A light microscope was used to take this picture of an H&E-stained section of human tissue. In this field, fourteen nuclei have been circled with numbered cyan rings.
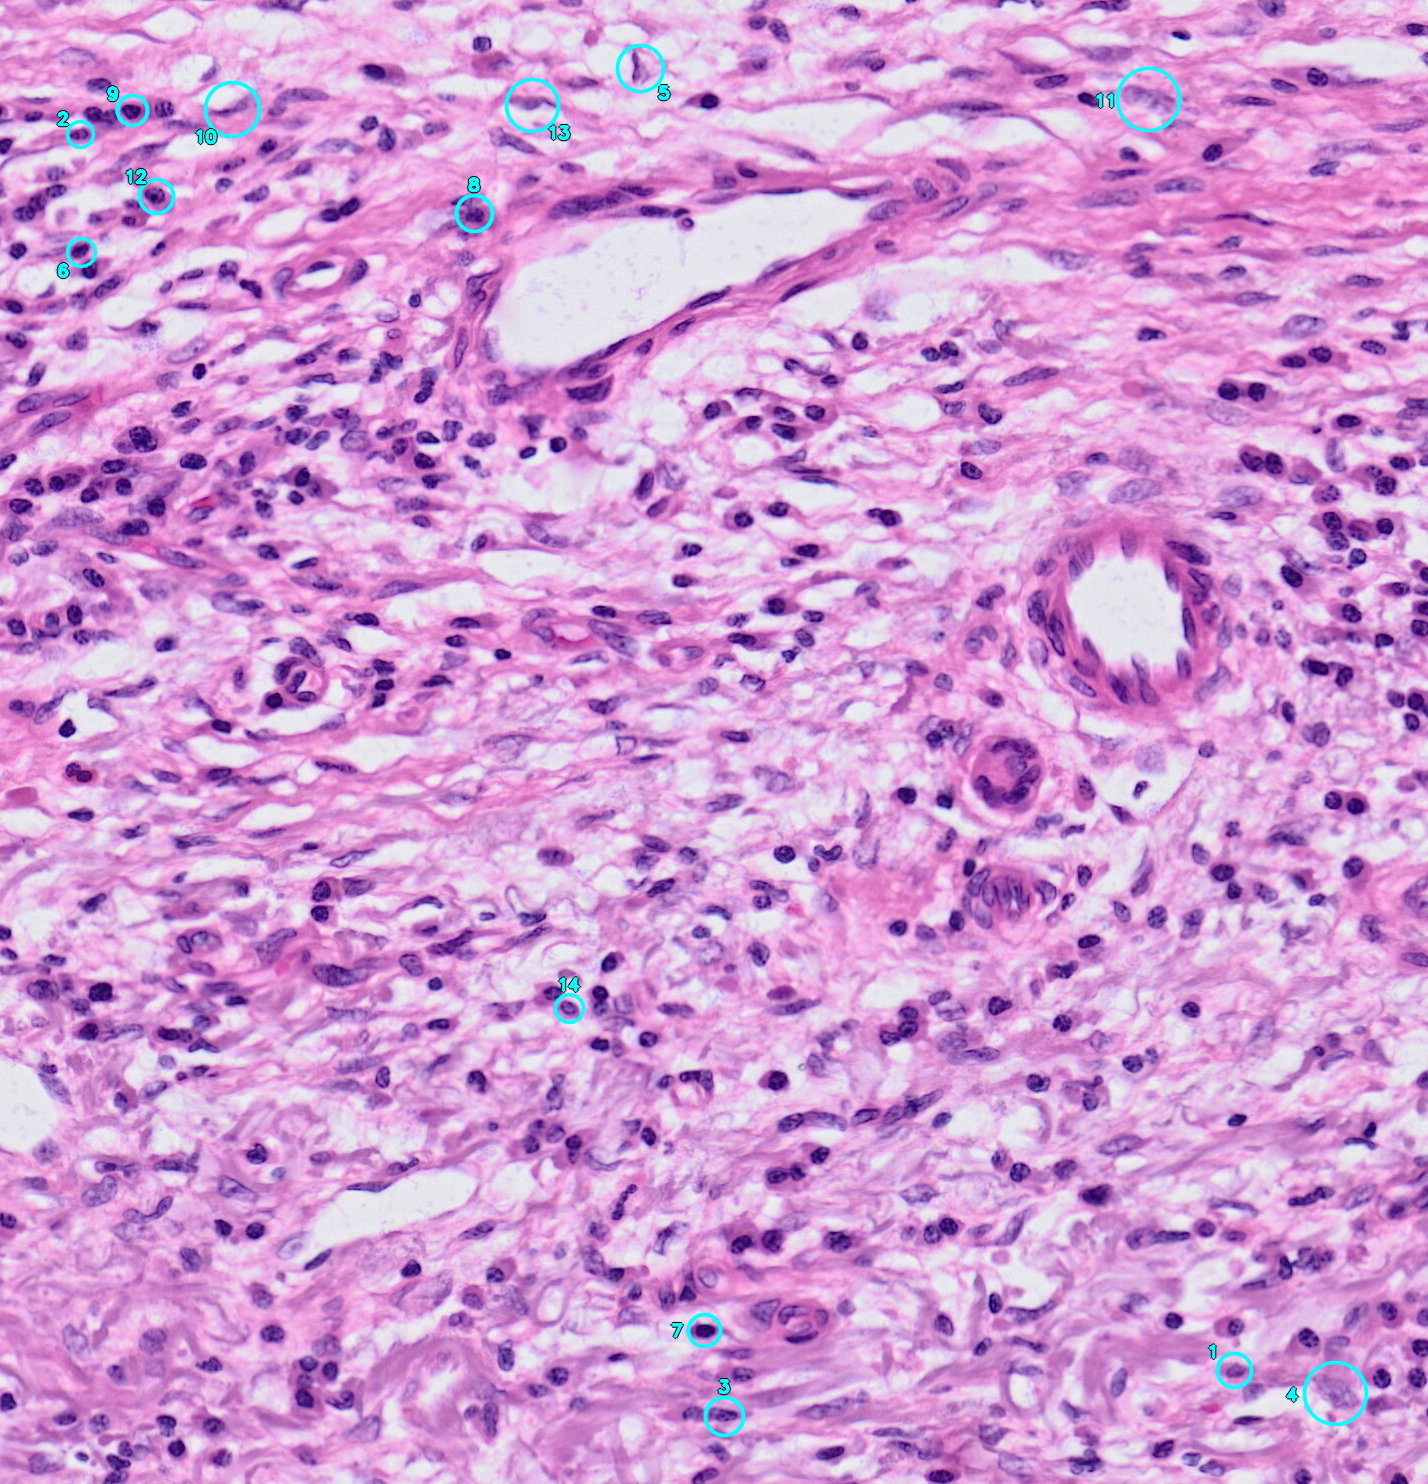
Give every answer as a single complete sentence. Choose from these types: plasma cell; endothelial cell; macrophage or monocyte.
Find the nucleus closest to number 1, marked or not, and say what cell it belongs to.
The nearest nucleus to number 1 belongs to an endothelial cell.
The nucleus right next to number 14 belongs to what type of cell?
Closest to number 14 lies the nucleus of a plasma cell.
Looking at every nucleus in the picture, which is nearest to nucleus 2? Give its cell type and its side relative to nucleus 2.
Just above and to the right of nucleus 2 lies the nearest nucleus, which belongs to a plasma cell.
